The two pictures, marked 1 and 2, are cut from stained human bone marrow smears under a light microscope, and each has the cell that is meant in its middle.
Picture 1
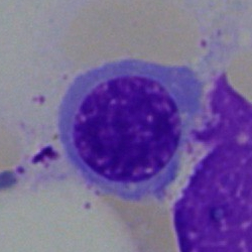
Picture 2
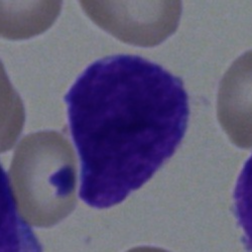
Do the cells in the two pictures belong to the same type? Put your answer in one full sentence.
No, they differ: the cell is an erythroblast in picture 1 and a blast in picture 2.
